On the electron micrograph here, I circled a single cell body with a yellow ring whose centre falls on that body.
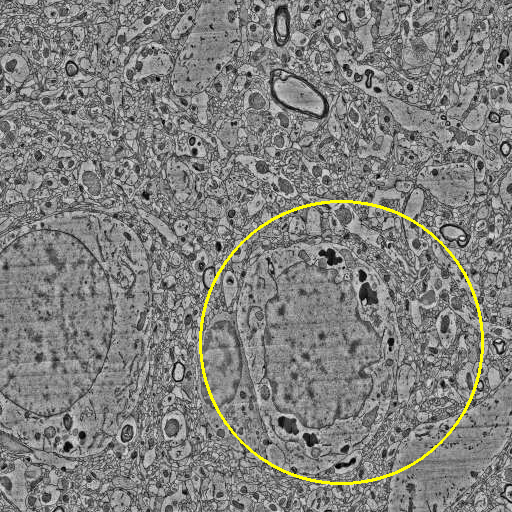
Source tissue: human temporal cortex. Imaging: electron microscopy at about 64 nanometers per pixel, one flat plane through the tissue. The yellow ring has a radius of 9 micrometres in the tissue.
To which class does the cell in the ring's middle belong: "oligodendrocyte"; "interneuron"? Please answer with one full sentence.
In this picture, the cell body circled at the ring's centre belongs to an interneuron.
